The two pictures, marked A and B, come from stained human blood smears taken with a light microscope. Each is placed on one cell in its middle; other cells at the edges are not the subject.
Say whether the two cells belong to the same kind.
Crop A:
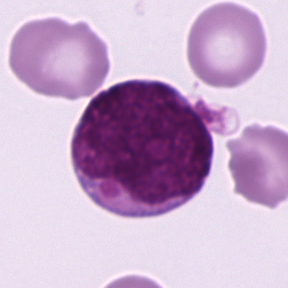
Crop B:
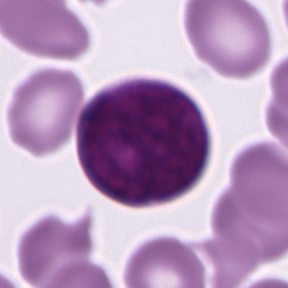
yes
